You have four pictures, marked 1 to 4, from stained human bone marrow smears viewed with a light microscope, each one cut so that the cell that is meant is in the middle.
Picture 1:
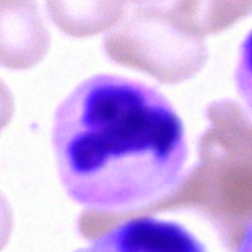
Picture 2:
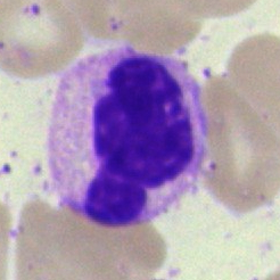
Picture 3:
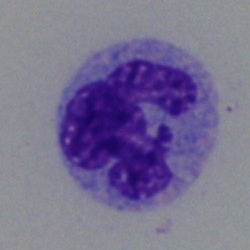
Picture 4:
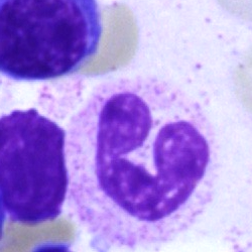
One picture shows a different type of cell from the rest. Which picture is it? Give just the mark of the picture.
3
